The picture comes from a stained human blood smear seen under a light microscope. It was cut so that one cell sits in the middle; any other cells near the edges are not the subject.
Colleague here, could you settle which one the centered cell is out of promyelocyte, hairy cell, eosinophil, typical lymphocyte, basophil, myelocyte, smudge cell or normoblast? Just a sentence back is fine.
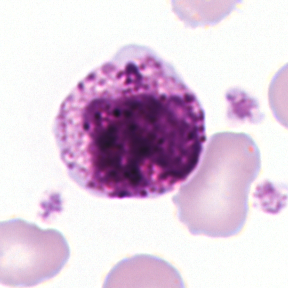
In this crop, the cell at the very middle is a basophil.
